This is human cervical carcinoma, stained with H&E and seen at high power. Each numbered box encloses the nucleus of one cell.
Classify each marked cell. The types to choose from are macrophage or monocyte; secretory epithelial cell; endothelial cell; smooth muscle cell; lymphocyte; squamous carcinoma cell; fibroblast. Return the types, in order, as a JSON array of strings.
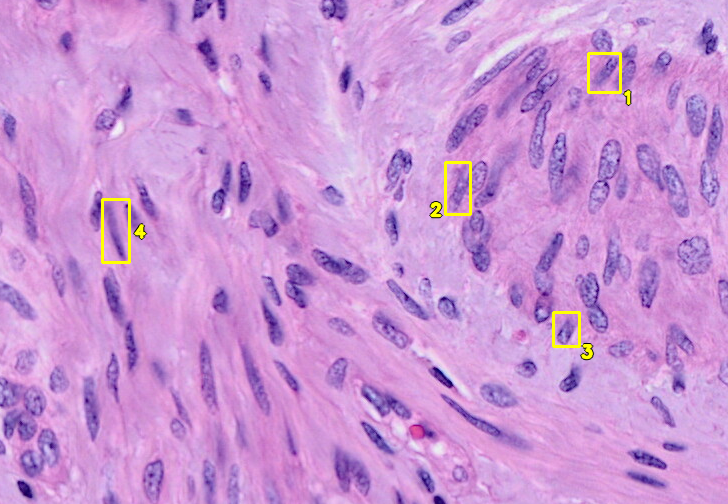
["smooth muscle cell", "smooth muscle cell", "smooth muscle cell", "fibroblast"]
